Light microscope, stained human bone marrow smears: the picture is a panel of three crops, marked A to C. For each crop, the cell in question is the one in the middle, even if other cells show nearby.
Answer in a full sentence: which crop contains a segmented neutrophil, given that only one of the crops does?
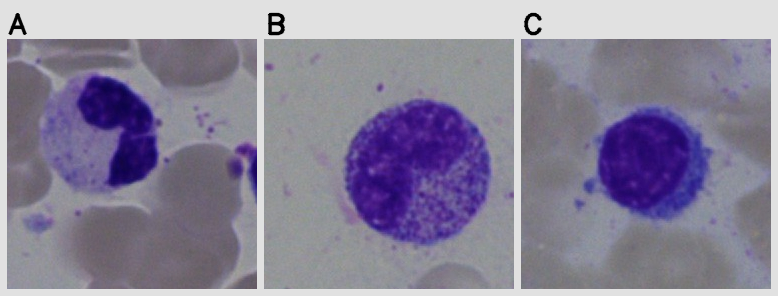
Crop A, and no other, is the one that shows a segmented neutrophil.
